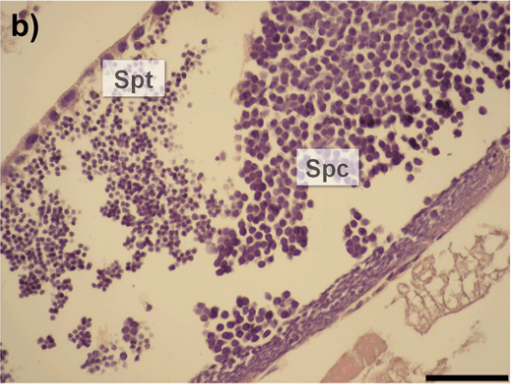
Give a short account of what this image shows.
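Testis tissue with a dense cluster of spermatocytes, round cells with darkly purple-stained nuclei packed tightly together. Beside them lie spermatids, smaller dark round cells scattered more loosely in small groups across a pale space. A thin layer of elongated cells lines the edge of the gonad.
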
